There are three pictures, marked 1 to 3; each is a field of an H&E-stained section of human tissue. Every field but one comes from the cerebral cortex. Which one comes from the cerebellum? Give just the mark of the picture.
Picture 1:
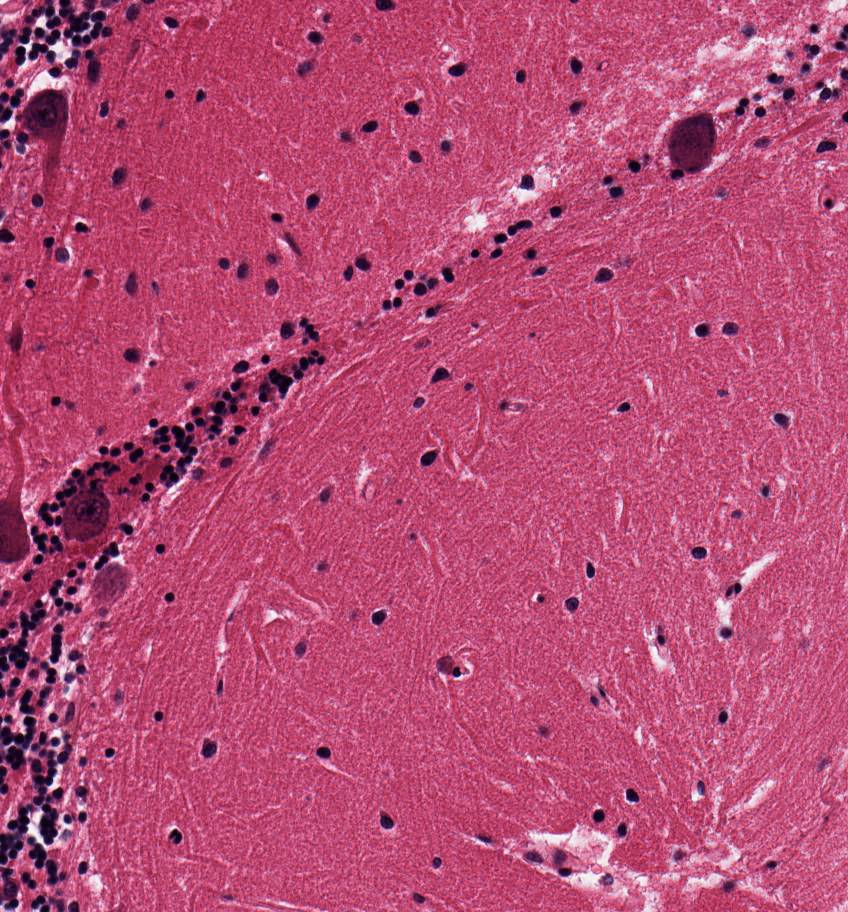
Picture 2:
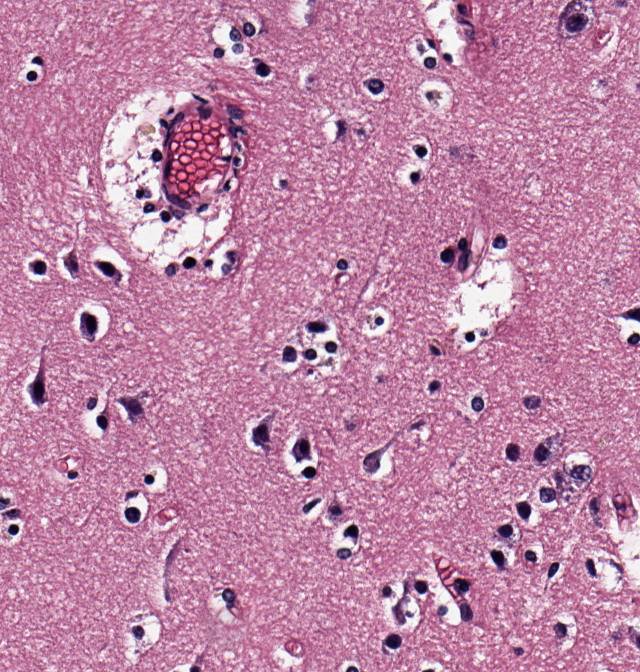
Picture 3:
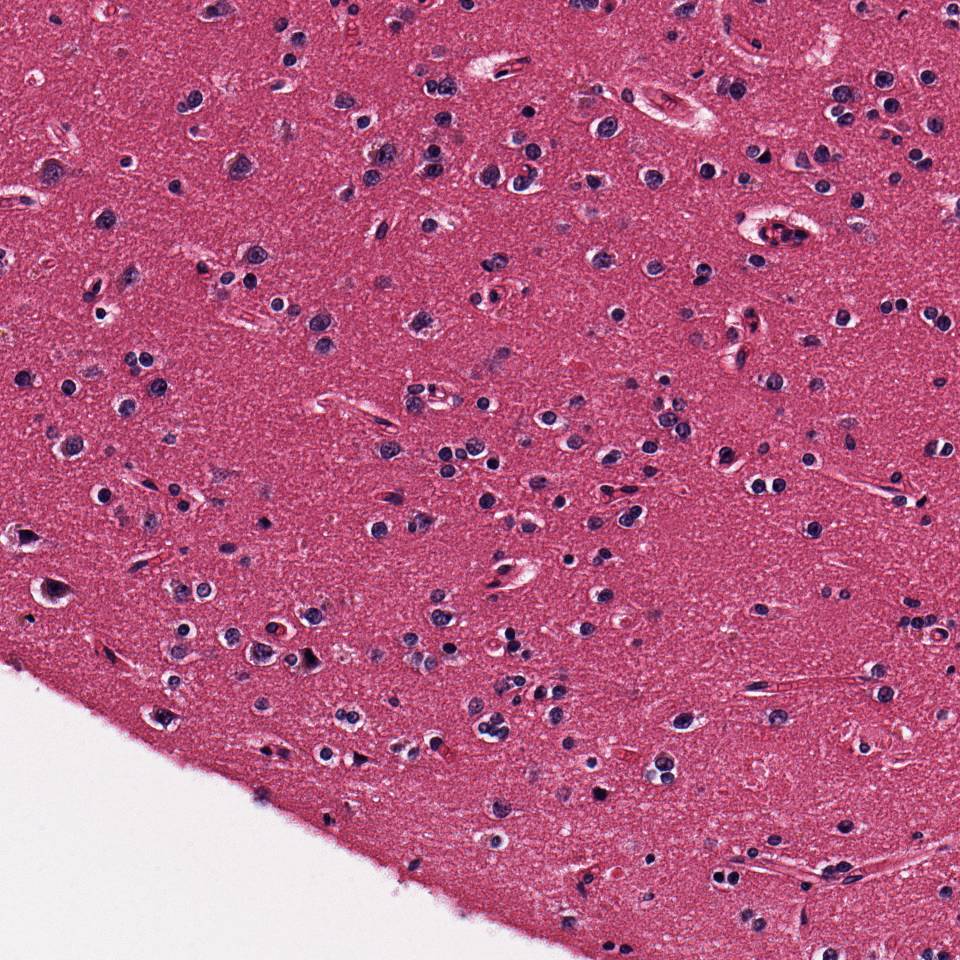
1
